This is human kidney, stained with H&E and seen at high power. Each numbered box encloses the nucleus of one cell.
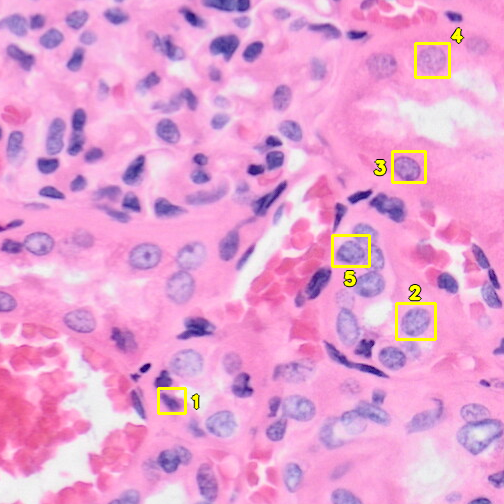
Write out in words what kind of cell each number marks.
Cell 1 is a collecting duct cell, cell 2 is a collecting duct cell, cell 3 is a proximal tubule cell, cell 4 is a proximal tubule cell and cell 5 is a collecting duct cell.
